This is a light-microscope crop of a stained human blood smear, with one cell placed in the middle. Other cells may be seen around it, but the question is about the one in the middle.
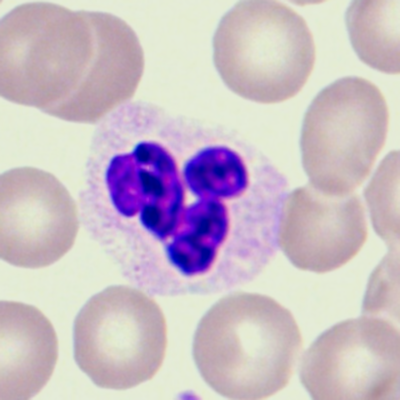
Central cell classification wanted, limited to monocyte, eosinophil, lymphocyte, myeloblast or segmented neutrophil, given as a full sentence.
The cell nearest the centre of this crop is a segmented neutrophil.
